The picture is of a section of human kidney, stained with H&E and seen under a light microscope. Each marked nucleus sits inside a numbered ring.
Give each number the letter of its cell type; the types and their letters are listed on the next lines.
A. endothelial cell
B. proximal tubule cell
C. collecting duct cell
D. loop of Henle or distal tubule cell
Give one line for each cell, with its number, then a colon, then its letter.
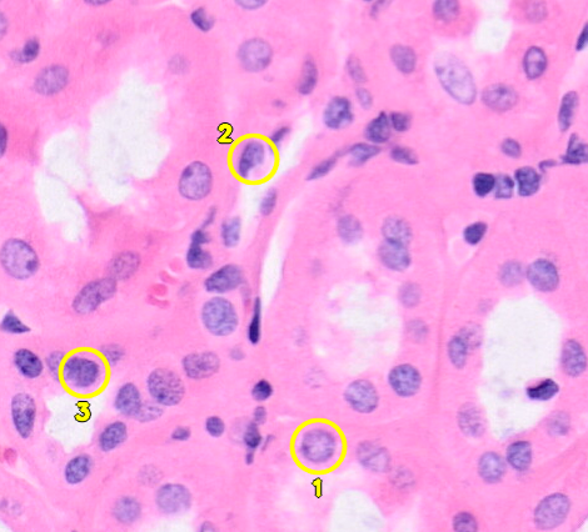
1: B
2: C
3: C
